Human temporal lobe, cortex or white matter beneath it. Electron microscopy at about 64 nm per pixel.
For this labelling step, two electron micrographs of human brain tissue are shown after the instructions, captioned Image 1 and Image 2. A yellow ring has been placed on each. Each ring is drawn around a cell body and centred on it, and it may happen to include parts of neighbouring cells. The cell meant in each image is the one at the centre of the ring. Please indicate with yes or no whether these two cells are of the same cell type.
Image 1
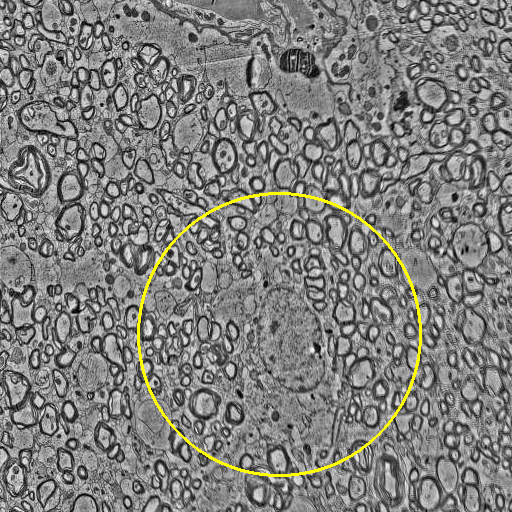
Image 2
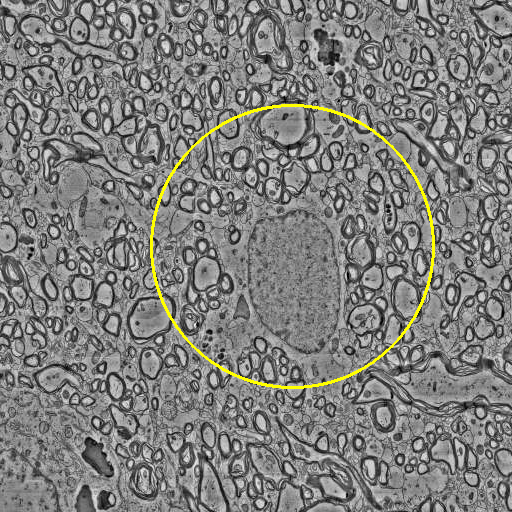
yes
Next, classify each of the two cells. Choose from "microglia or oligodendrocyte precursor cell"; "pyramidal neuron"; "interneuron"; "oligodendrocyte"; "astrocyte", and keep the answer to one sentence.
The ring centre holds an astrocyte in each of the two pictures.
